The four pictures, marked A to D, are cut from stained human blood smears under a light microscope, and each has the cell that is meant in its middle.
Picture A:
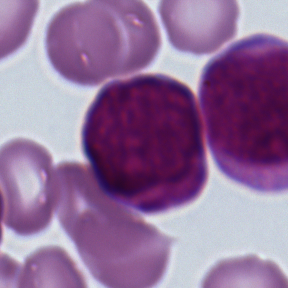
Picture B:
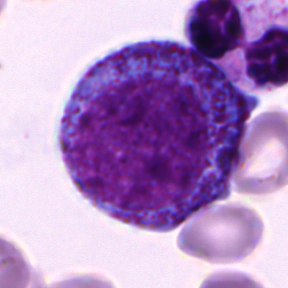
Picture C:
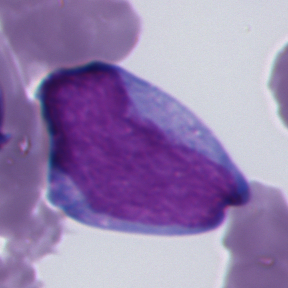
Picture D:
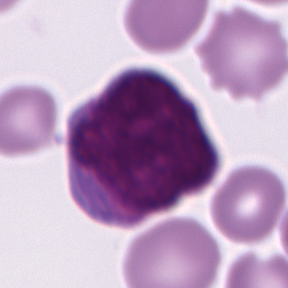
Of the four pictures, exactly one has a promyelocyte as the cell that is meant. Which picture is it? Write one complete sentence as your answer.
Picture B is the one that shows the promyelocyte.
